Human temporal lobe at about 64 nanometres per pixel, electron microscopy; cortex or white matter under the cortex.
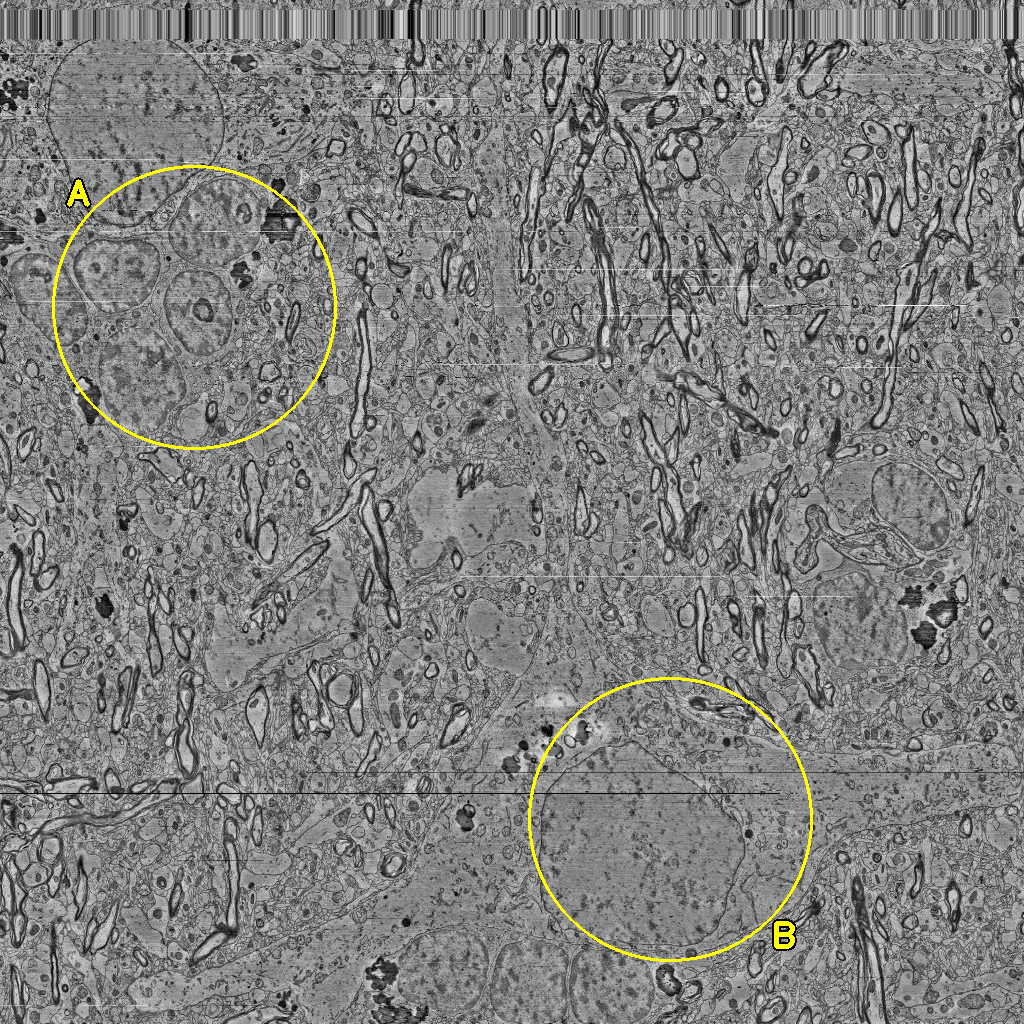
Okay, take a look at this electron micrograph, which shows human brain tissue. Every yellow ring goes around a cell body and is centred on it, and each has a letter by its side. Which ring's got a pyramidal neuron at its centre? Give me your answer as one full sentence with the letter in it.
The one you're after is ring B, centred on the cell you asked about.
